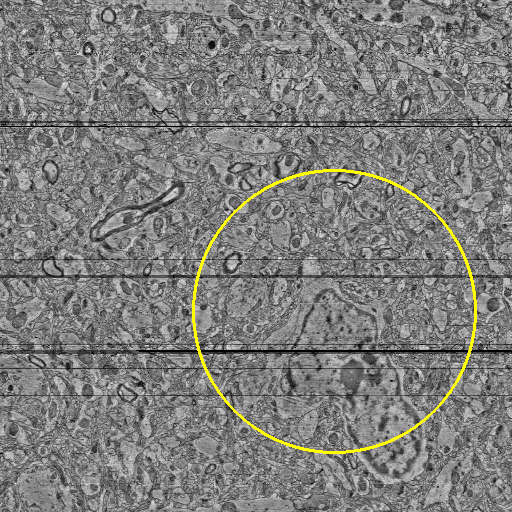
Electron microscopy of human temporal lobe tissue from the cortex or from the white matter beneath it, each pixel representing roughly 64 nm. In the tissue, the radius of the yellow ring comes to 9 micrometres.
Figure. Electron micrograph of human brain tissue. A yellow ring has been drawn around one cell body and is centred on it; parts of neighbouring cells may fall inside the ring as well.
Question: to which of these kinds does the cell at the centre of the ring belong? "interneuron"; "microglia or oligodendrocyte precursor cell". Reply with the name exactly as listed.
microglia or oligodendrocyte precursor cell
